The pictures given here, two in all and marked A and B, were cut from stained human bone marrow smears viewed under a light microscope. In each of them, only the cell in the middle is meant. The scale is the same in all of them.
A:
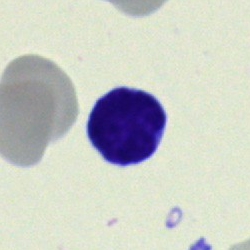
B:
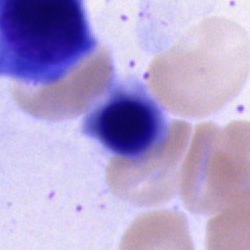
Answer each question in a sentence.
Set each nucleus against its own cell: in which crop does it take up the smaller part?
In crop B the nucleus takes up the smaller part of its cell.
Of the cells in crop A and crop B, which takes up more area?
It is the cell in crop A, about 1.5 times as large in area as the cell in crop B.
